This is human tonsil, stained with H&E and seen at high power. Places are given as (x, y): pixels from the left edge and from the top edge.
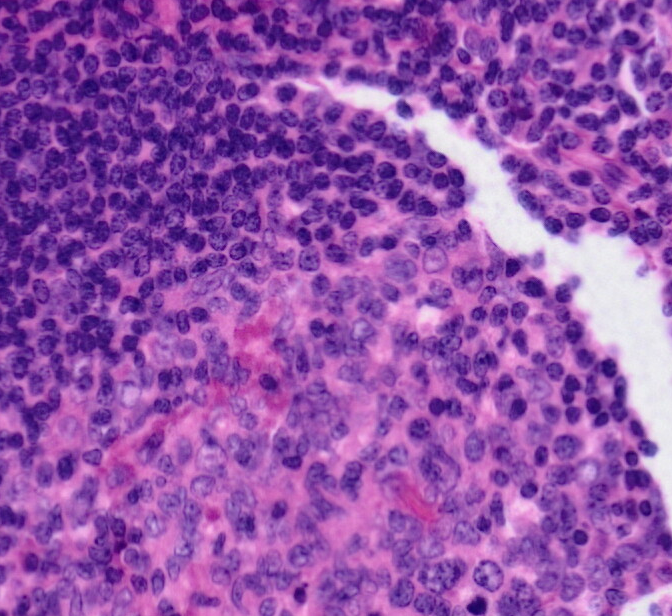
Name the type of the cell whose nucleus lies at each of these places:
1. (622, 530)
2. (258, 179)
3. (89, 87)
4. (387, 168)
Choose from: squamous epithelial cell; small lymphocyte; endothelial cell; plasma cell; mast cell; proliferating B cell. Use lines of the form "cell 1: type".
cell 1: proliferating B cell
cell 2: small lymphocyte
cell 3: small lymphocyte
cell 4: small lymphocyte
